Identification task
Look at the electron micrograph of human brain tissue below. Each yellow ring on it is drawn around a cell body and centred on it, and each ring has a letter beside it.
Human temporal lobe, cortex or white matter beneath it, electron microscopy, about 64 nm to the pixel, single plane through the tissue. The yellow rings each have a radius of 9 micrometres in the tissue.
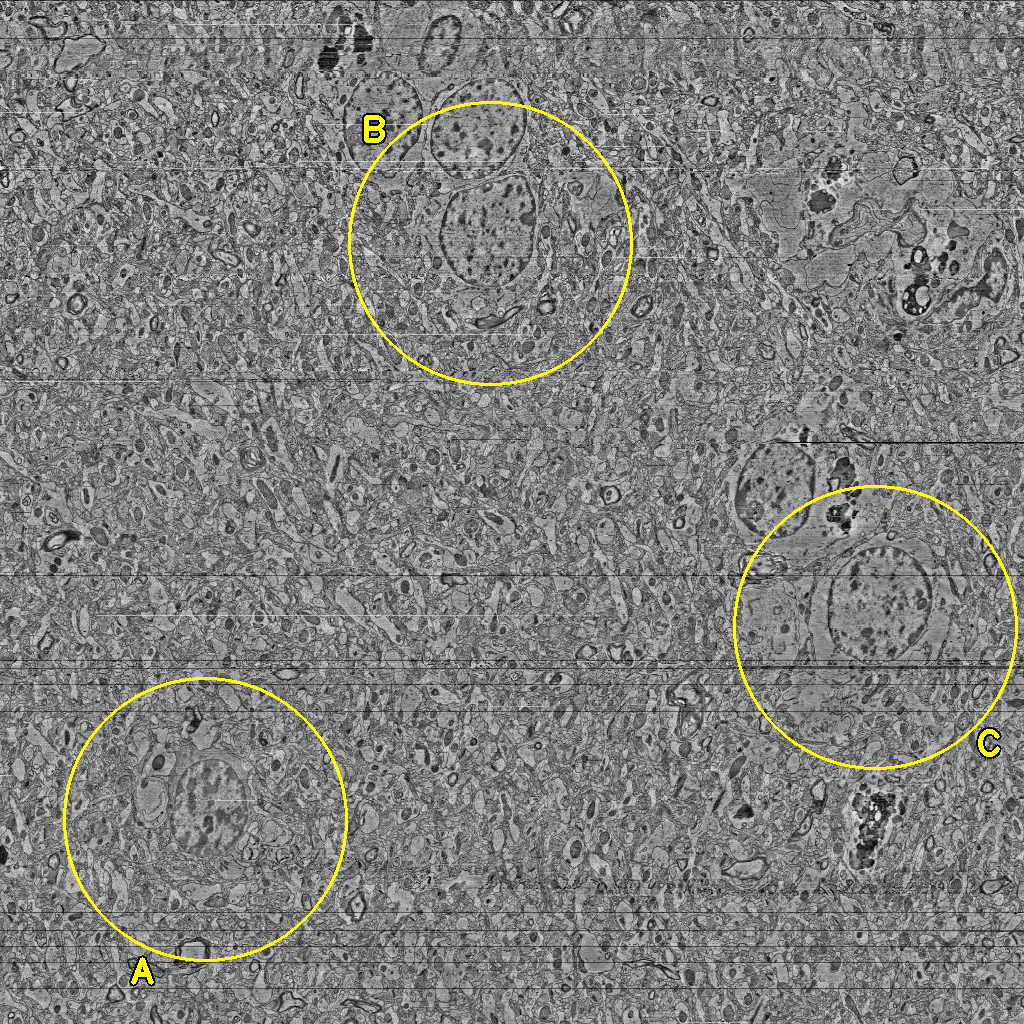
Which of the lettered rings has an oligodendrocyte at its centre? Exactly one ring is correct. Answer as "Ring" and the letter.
Ring A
